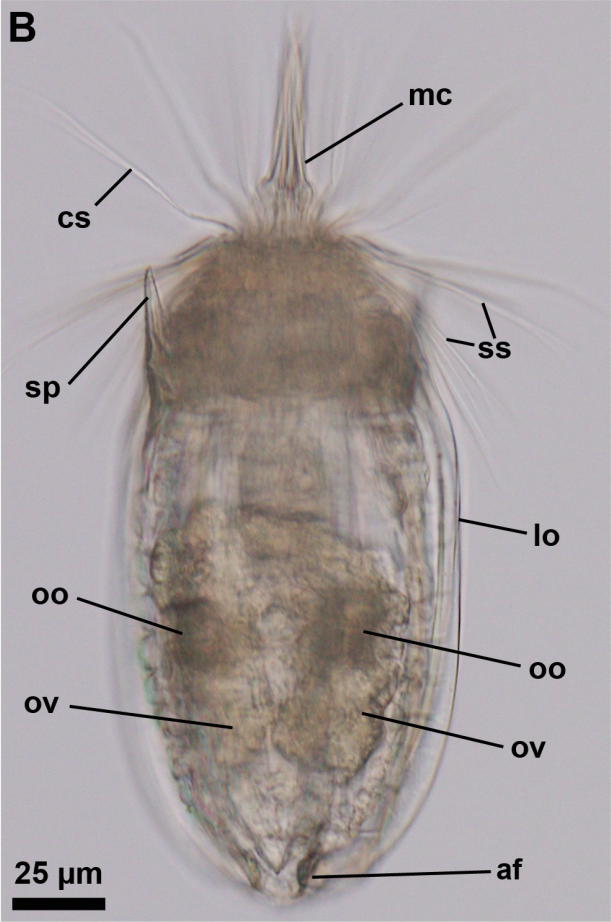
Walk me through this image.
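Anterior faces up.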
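A pointed, cone-shaped mouth region projects forward from a dense, brownish head region. Long, fine spines fan out from the head region, and a short spike stands at one shoulder. A thin, clear body casing outlines the abdomen, which is filled with granular contents. Two darker, rounded oocytes lie side by side within paler ovaries in the rear half. At the tapered hind end there is a small notched anal area.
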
